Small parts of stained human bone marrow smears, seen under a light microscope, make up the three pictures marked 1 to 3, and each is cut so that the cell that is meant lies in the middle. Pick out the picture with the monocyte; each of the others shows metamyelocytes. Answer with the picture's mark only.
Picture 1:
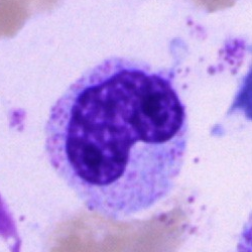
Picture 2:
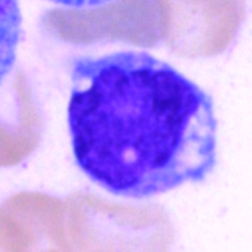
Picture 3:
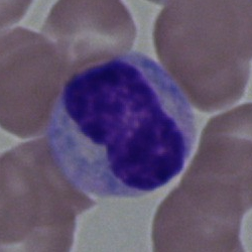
2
